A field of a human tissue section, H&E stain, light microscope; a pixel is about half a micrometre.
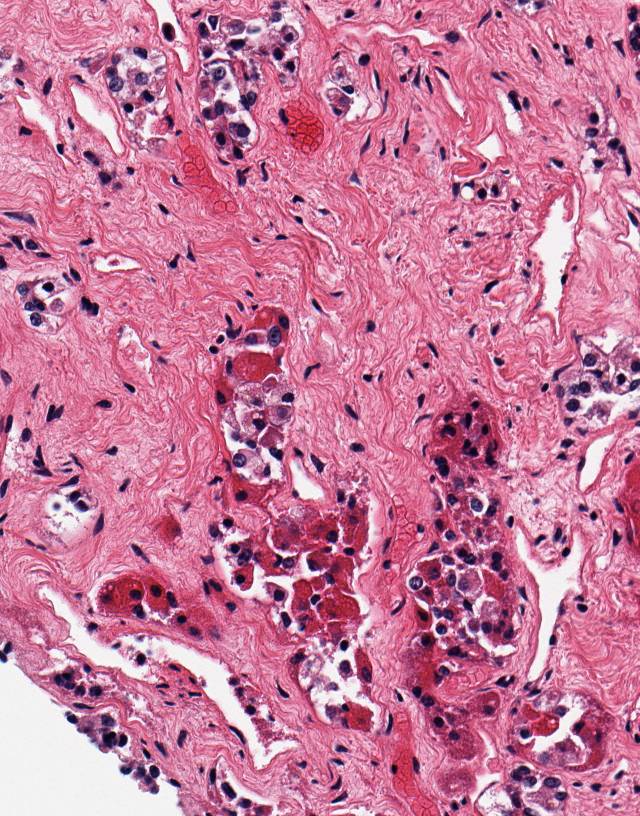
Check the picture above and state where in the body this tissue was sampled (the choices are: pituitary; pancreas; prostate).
pituitary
